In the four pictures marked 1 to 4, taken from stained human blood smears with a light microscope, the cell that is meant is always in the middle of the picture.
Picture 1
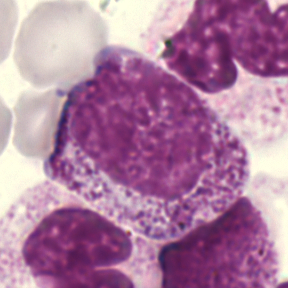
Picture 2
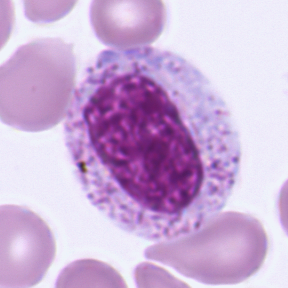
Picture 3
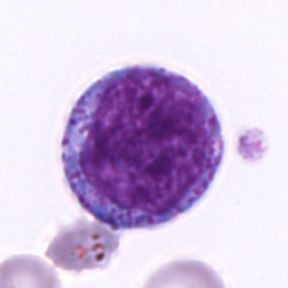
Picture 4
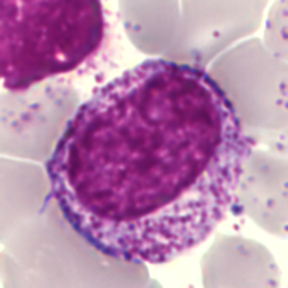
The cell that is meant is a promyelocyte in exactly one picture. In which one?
3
